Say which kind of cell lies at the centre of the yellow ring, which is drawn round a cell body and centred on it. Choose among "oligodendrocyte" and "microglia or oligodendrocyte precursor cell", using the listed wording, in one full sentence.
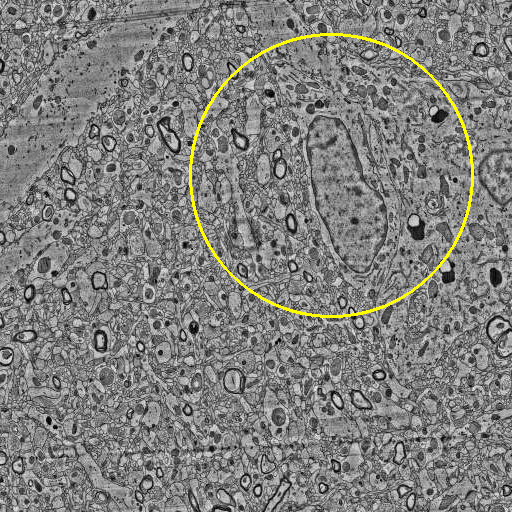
Going by the list, the cell at the yellow ring's centre is a microglial cell or oligodendrocyte precursor cell.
